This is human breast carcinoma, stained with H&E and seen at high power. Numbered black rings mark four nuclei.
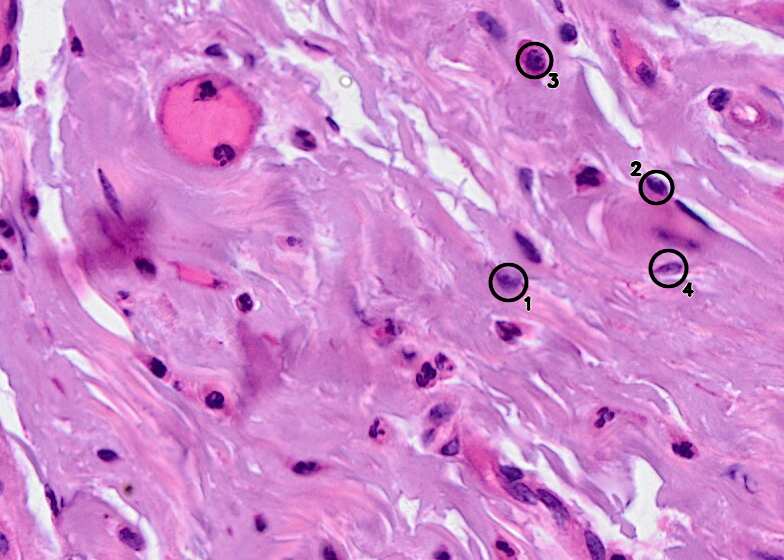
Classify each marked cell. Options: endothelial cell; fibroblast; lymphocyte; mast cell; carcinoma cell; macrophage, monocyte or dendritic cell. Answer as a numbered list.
1. fibroblast
2. fibroblast
3. mast cell
4. fibroblast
